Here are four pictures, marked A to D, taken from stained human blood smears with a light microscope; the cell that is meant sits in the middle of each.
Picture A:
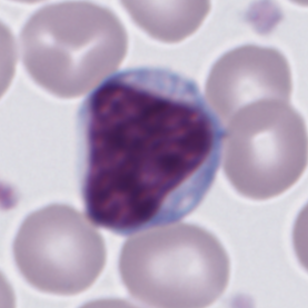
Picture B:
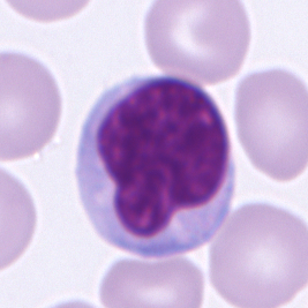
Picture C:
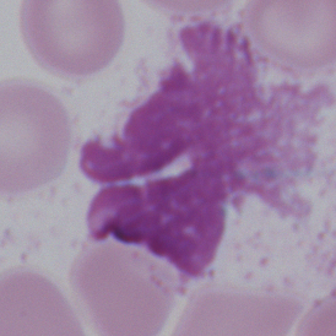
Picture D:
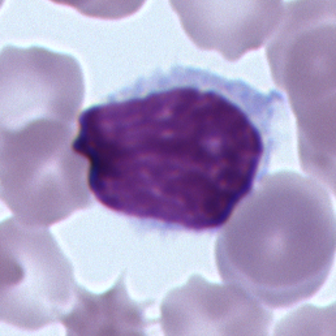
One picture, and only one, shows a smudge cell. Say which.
C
